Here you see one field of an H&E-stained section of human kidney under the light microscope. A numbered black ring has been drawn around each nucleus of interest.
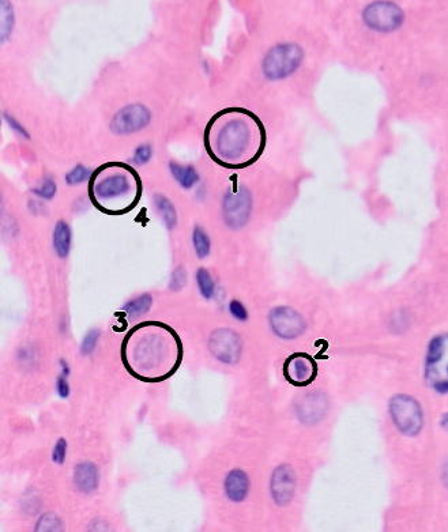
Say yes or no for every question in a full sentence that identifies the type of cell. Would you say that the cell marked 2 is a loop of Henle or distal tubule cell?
No, cell 2, which is an endothelial cell, is not a loop of Henle or distal tubule cell.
